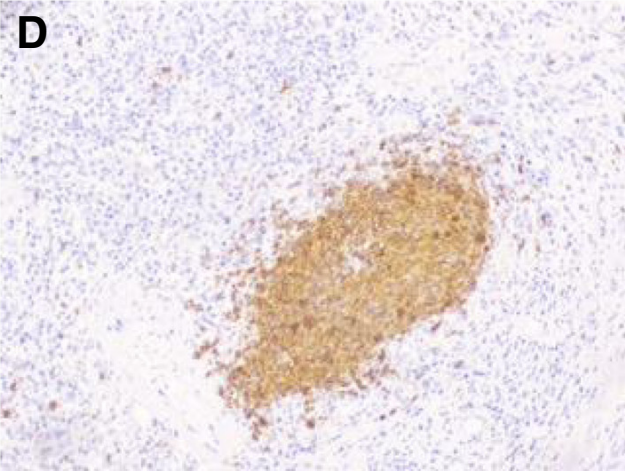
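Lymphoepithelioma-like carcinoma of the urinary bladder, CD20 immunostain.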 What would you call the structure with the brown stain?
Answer: Follicles.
